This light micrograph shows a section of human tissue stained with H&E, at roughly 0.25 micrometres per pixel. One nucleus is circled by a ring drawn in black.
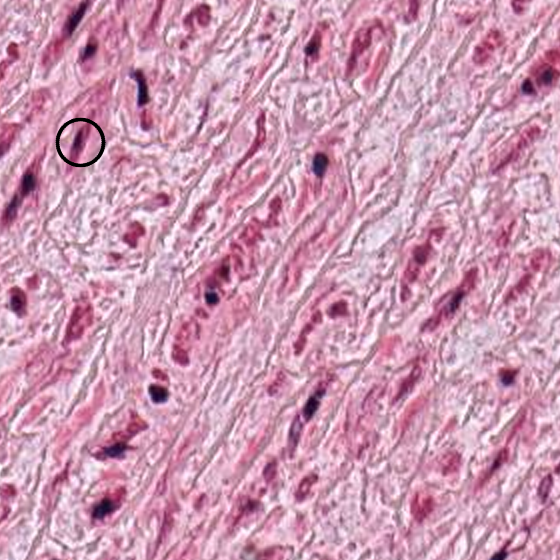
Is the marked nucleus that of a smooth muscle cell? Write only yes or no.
yes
